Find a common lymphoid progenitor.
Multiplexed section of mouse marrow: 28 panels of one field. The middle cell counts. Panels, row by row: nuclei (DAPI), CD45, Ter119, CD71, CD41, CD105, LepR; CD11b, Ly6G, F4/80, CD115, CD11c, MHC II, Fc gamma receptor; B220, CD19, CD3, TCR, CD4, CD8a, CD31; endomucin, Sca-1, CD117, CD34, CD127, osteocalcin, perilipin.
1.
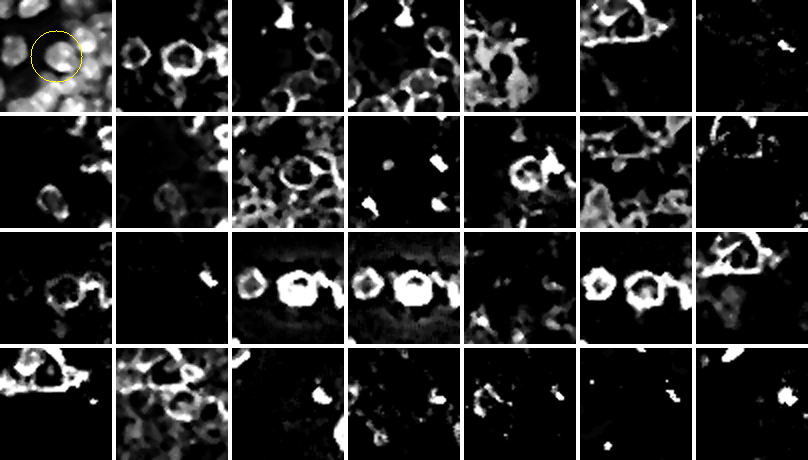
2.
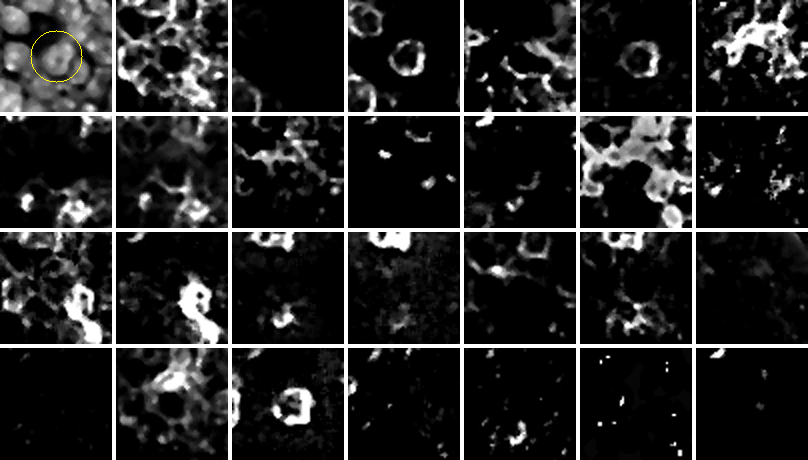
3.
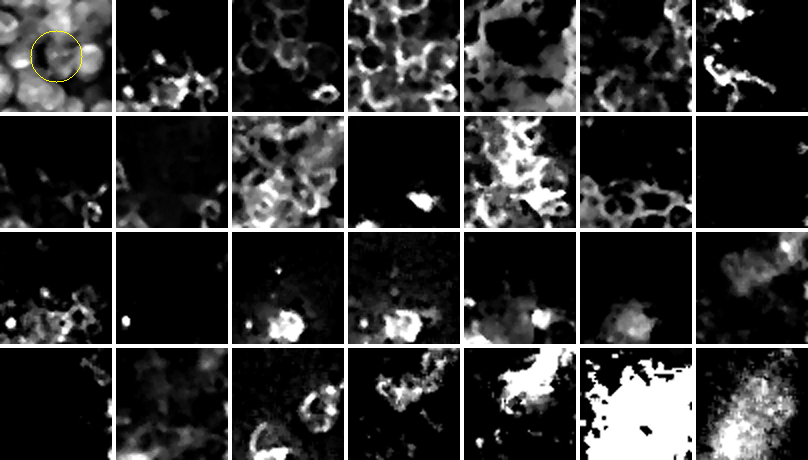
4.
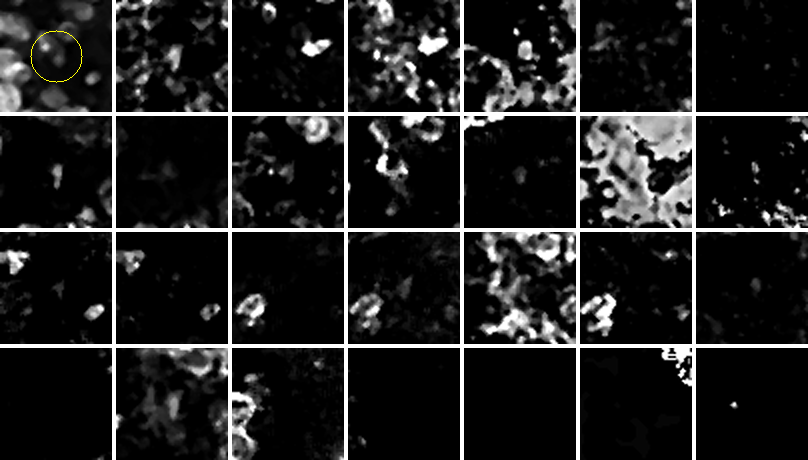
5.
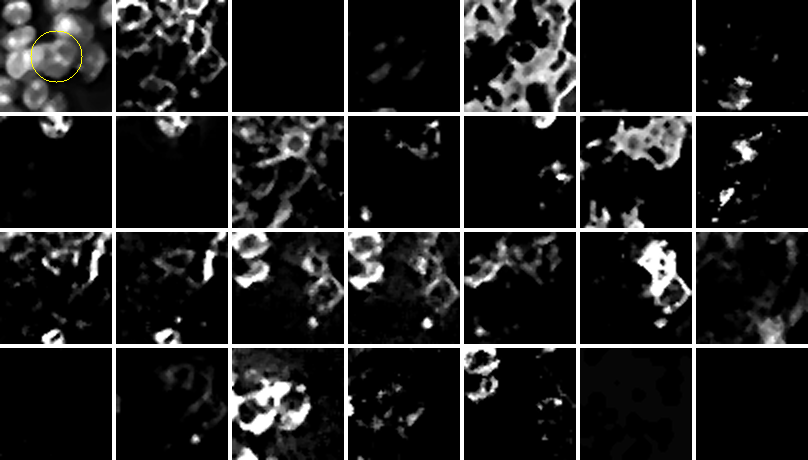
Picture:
3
